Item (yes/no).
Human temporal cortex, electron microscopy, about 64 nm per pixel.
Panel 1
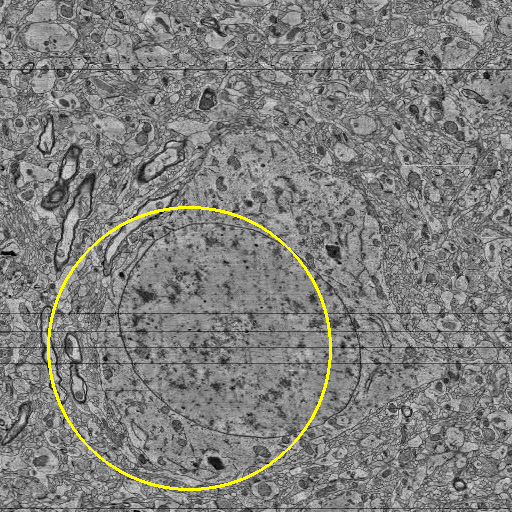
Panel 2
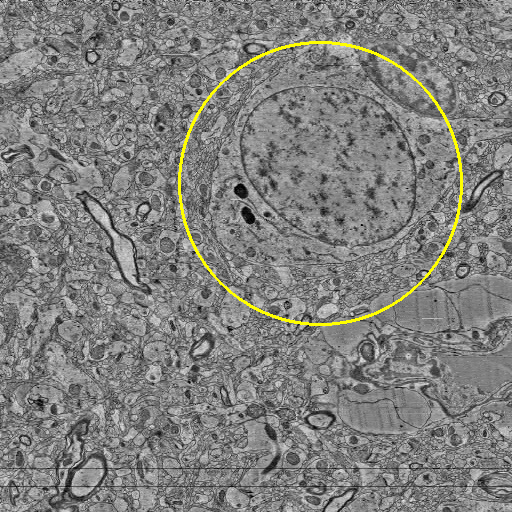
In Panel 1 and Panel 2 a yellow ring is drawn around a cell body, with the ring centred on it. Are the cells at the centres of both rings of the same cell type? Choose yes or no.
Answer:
yes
